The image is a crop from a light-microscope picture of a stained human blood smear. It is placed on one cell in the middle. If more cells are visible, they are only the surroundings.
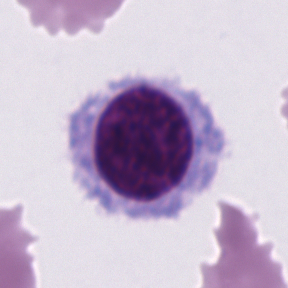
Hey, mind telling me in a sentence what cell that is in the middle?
The central element of this crop is a cell, namely a hairy cell.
